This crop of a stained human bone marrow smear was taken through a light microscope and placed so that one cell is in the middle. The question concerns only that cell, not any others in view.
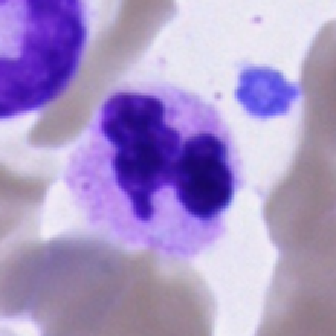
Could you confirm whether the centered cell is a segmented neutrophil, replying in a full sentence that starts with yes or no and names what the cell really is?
Yes, centred in the crop is a segmented neutrophil.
